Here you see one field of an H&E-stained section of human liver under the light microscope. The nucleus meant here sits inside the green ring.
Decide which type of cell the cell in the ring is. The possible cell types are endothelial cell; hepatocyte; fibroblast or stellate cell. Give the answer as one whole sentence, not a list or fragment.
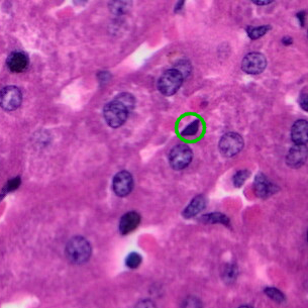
Assigned to a cell type, the cell in the ring is a fibroblast or stellate cell.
